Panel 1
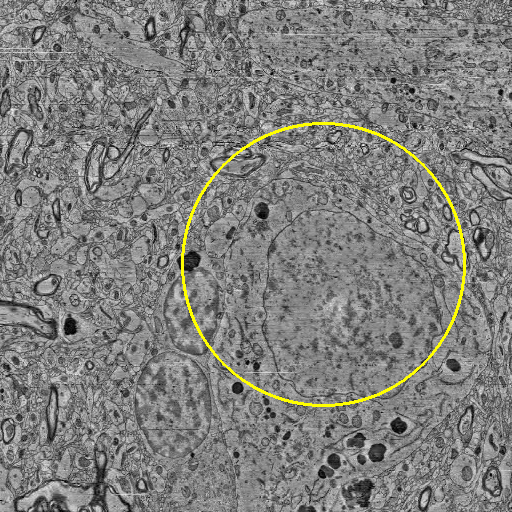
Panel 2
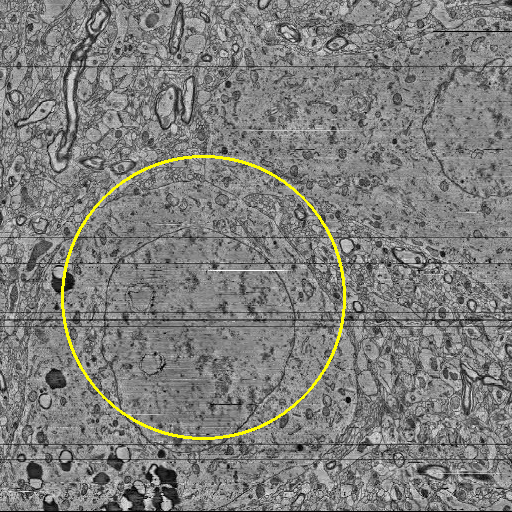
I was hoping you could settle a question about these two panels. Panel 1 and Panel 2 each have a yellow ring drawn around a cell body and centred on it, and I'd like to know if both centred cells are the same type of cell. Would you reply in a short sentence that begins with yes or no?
Yes, both are the same type of cell.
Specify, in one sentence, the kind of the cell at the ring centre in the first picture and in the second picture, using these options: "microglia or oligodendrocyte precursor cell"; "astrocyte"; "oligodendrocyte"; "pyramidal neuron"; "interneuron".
Both rings mark a pyramidal neuron, one in each picture.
